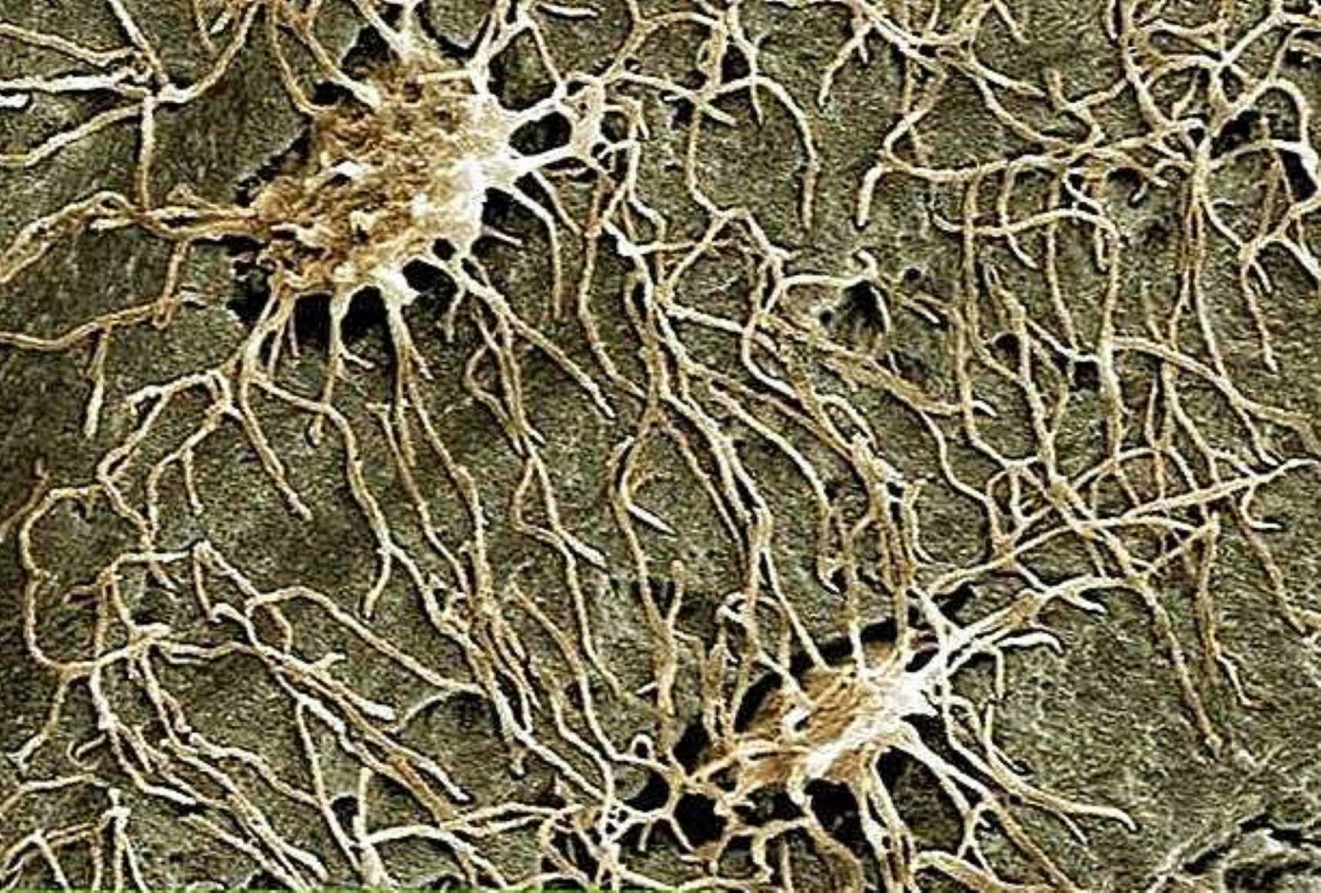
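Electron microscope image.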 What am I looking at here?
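This scanning electron micrograph shows two osteocytes lying on a flat, finely textured surface, one at upper left and one at lower right. From each rounded cell body, a great many long, slender processes radiate outward, branching and winding as they go. The processes from the two cells run towards one another and interweave, so the space between the cells is covered by a dense, web-like network. Close to each cell body, dark gaps open in the surface beneath the processes.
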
